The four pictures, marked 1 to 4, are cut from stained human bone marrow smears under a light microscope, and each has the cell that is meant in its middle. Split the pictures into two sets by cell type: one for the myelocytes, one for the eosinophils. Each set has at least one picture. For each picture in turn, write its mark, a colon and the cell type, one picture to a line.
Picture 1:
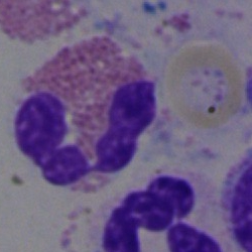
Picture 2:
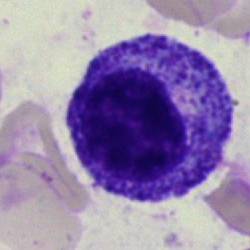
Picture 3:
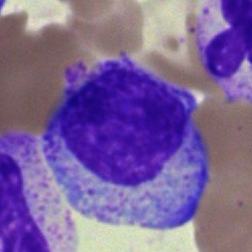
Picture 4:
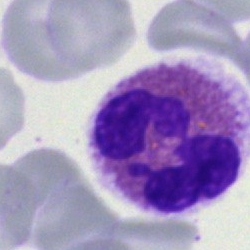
1: eosinophil
2: myelocyte
3: myelocyte
4: eosinophil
